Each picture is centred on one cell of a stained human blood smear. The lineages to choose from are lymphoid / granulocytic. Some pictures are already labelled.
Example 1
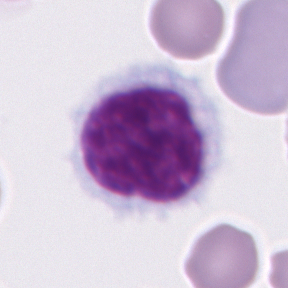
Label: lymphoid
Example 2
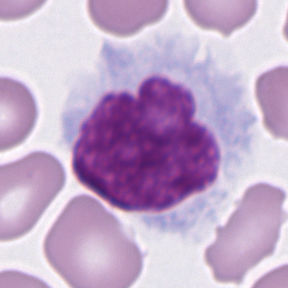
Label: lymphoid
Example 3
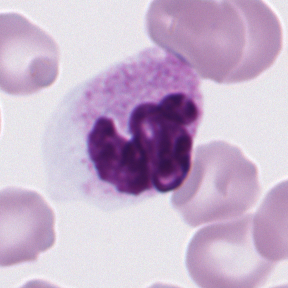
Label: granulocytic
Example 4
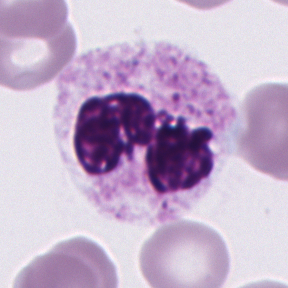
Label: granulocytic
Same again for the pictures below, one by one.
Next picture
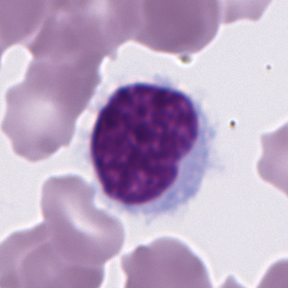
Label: lymphoid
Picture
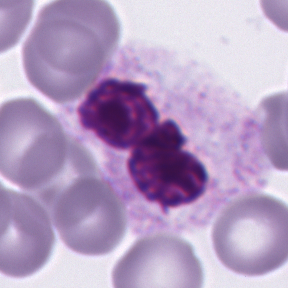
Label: granulocytic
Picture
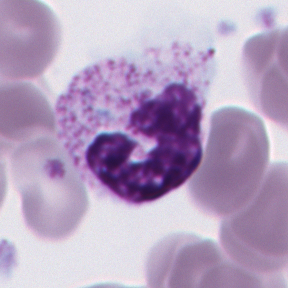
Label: granulocytic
